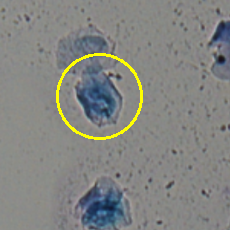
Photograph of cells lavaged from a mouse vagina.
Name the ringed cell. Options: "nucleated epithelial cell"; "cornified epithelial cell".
cornified epithelial cell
